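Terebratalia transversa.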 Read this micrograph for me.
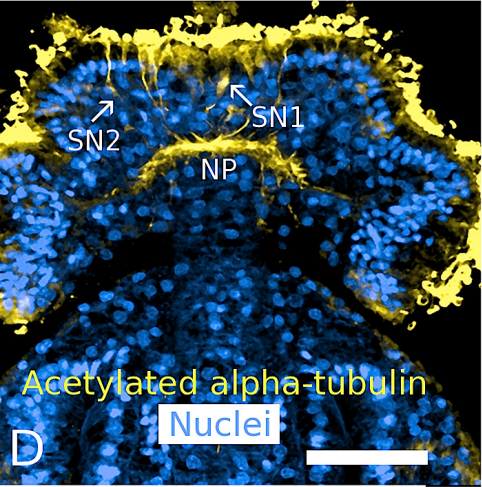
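Front lobe of a larva with sensory neurons in the apical organ sending fibres into a central neuropil. Densely packed blue nuclei form a thick epidermal layer around the lobe, with yellow cilia fringing the outer surface. Slender yellow fibres run from a few surface cells inward and join a dense arched band of fibres beneath the epidermis. Below it lies a further mass of nuclei of the body behind.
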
